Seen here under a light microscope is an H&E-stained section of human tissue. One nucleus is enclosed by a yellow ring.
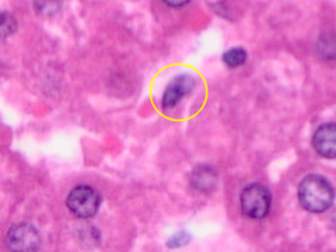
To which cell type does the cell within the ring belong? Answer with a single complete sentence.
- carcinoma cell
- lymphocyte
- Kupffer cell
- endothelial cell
At the level of cell identity, the cell within the ring is a Kupffer cell.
